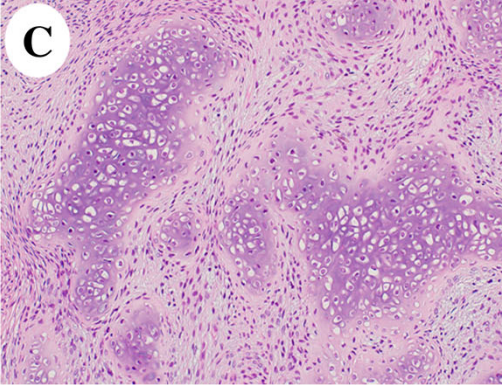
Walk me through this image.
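This is a spindled area of the tumor in which nodules of cartilage lie in a cellular spindle-cell background. The cartilage forms irregular, lobulated islands with a pale bluish-purple matrix. Around the nodules, elongated spindle cells with slender nuclei stream in fascicles and merge with the edges of the cartilage islands.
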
